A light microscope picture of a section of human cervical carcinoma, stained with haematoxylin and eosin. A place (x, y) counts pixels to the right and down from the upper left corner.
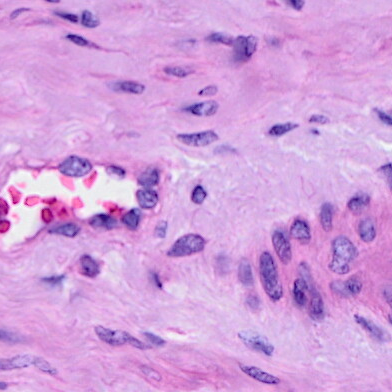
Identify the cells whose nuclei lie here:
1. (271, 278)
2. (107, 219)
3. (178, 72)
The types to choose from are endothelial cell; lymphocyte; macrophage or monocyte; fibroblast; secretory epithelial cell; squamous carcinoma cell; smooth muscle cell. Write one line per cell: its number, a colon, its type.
1: smooth muscle cell
2: endothelial cell
3: smooth muscle cell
